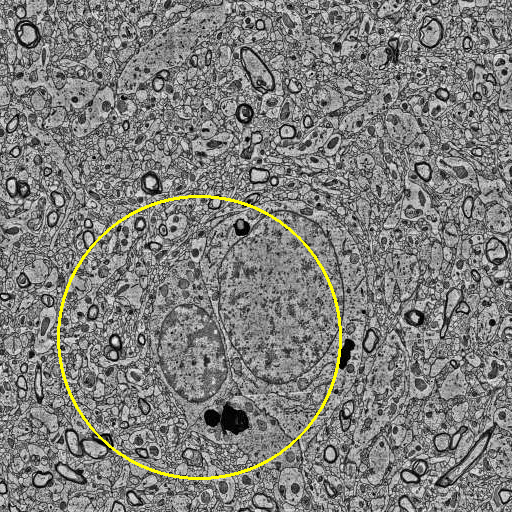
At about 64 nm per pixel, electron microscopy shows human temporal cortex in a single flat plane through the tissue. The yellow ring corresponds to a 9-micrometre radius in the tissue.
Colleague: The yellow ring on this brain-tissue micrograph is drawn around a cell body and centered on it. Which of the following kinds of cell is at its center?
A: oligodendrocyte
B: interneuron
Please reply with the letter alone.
A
